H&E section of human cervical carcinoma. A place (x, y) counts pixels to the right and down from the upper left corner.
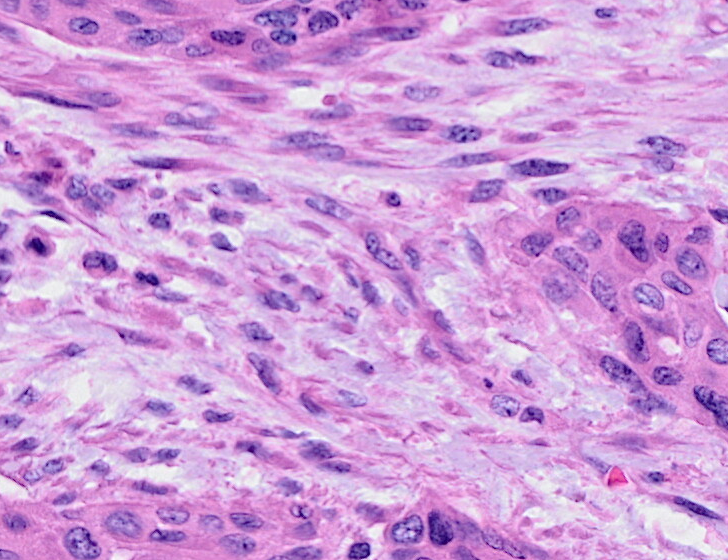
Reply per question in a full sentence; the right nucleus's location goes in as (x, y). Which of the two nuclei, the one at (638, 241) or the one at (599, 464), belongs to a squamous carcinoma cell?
The nucleus at (638, 241), rather than the other, belongs to a squamous carcinoma cell.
